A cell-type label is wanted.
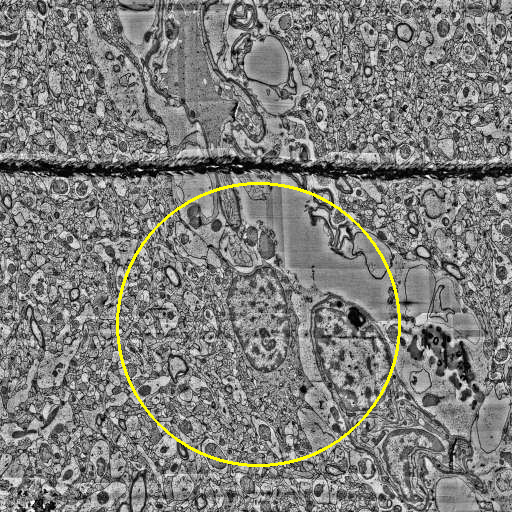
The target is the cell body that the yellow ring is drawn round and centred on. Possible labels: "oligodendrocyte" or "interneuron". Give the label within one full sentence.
Of the labels offered, the cell in the middle of the yellow ring is an oligodendrocyte.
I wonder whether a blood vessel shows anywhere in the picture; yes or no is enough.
Yes, one appears.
